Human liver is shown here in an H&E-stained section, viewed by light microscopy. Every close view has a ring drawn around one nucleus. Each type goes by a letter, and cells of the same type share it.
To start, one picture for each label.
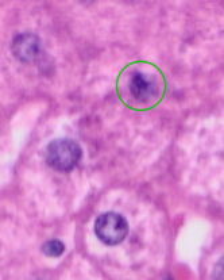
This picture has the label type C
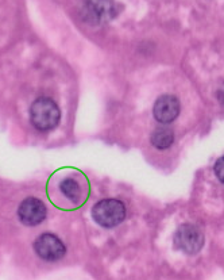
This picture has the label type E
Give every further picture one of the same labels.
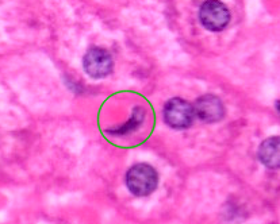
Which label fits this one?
type C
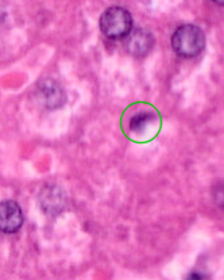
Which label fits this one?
type C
